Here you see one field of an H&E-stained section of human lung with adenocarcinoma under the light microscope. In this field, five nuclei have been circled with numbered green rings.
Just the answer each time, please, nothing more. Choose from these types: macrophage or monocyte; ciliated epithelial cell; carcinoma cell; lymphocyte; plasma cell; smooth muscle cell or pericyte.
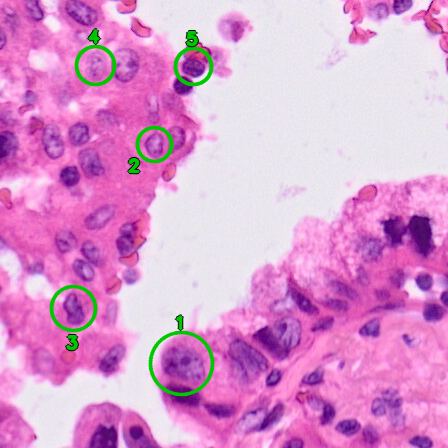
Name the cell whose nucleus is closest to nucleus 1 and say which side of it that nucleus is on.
a carcinoma cell below nucleus 1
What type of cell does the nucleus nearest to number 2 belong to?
macrophage or monocyte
